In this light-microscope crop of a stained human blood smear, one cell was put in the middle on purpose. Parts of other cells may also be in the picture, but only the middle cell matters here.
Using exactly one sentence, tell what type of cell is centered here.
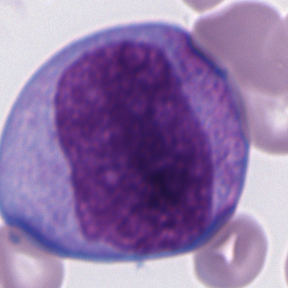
Whatever else lies nearby, the middle cell is a promyelocyte.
